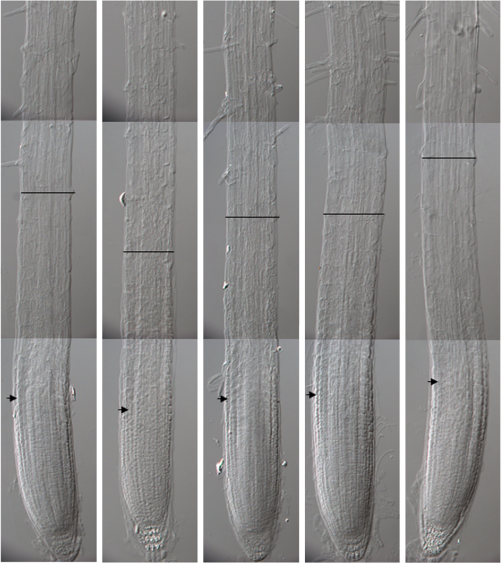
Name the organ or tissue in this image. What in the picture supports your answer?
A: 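Each of the five strips is a cylindrical organ with a rounded, capped end at the bottom. Longitudinal cell files run up the organ. On this evidence: root tips.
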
